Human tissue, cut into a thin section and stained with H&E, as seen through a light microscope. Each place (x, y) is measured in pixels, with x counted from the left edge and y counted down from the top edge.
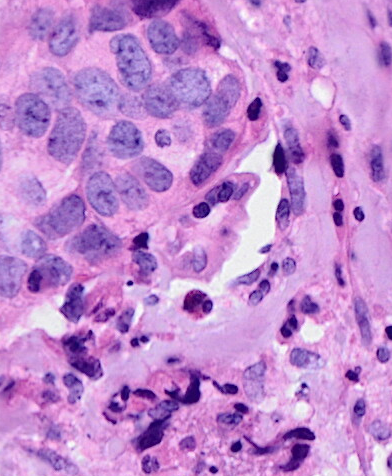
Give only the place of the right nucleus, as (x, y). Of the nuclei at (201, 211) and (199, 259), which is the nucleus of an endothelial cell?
(199, 259)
